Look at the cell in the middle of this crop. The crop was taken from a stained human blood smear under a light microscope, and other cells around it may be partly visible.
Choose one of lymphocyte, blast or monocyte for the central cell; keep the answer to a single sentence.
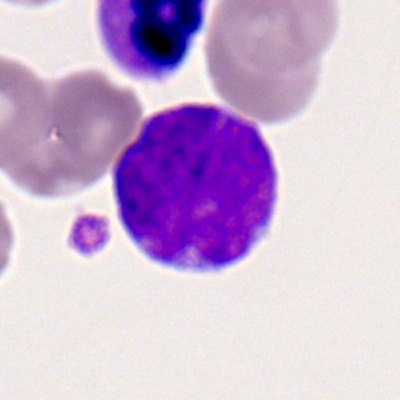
Centrally within this crop lies a blast.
